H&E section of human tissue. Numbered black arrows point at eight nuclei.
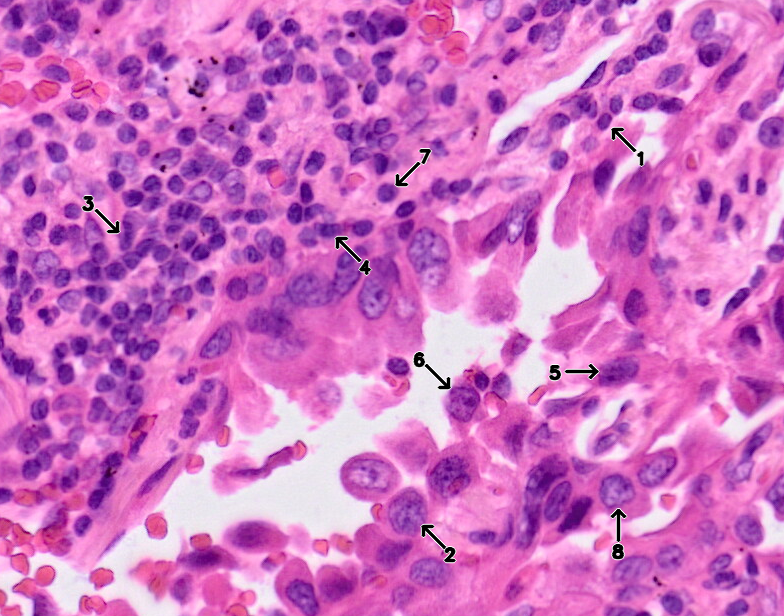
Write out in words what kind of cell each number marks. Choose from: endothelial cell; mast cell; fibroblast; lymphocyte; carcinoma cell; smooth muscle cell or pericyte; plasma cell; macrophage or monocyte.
Cell 1 is a lymphocyte, cell 2 is a carcinoma cell, cell 3 is a lymphocyte, cell 4 is a lymphocyte, cell 5 is a carcinoma cell, cell 6 is a carcinoma cell, cell 7 is a lymphocyte and cell 8 is a carcinoma cell.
